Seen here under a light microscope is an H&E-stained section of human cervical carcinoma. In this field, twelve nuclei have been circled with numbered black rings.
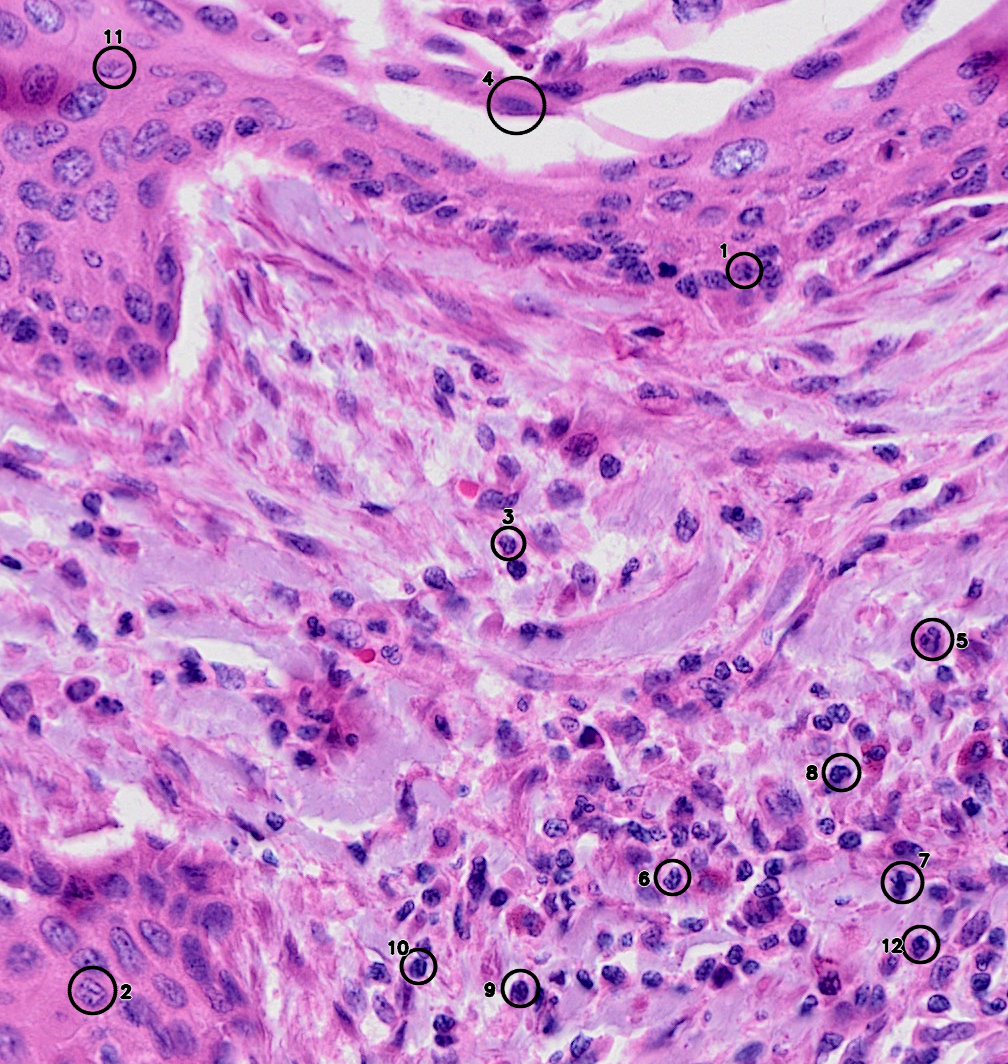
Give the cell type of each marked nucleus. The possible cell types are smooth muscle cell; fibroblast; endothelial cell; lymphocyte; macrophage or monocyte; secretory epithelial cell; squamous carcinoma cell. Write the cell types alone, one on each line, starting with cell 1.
squamous carcinoma cell
squamous carcinoma cell
lymphocyte
squamous carcinoma cell
macrophage or monocyte
lymphocyte
lymphocyte
lymphocyte
lymphocyte
lymphocyte
squamous carcinoma cell
lymphocyte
